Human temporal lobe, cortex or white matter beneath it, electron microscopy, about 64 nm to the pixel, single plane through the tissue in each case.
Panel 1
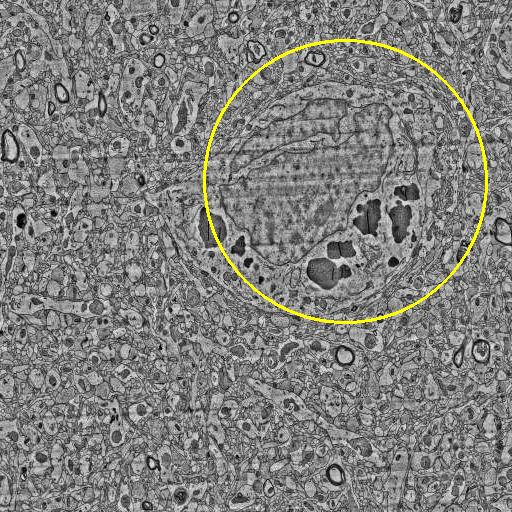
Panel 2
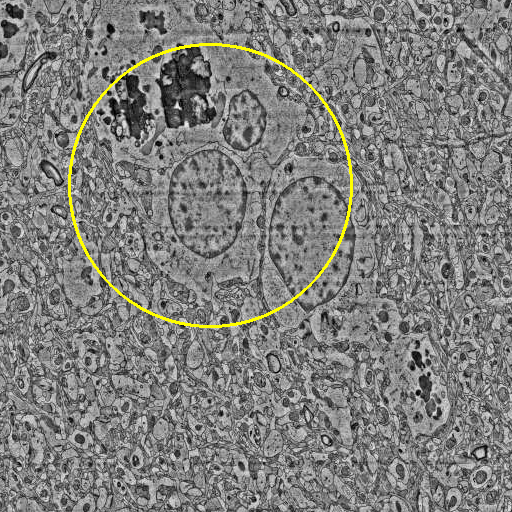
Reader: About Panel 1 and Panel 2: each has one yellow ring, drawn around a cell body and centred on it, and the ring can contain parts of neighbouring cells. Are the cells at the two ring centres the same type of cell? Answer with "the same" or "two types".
two types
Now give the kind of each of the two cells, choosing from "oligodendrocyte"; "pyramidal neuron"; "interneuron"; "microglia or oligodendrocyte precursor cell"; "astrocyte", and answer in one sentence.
The cell in the first picture is an interneuron, and the cell in the second is an astrocyte.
